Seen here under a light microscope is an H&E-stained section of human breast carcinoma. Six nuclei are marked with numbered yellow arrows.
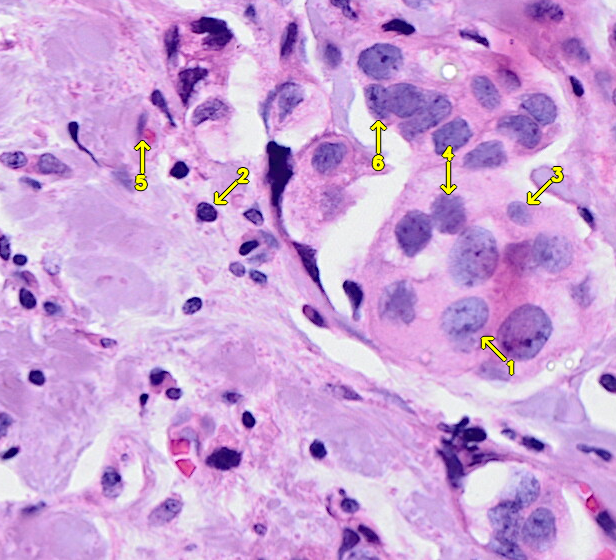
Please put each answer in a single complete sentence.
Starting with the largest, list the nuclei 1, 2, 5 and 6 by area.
Largest first, the order by area is 1, 6, 2, 5.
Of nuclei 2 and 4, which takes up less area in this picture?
It is nucleus 2; nucleus 4 has about 2.5 times its area.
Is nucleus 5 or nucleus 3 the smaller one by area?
Nucleus 5 is the smaller one; nucleus 3 covers about 2.5 times its area.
